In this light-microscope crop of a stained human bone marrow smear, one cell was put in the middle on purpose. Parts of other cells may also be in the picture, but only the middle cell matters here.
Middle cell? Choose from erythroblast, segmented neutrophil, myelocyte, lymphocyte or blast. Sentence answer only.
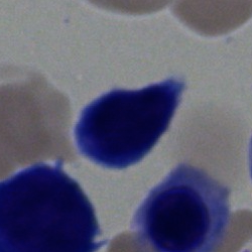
The central cell shown in this smear crop is a lymphocyte.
